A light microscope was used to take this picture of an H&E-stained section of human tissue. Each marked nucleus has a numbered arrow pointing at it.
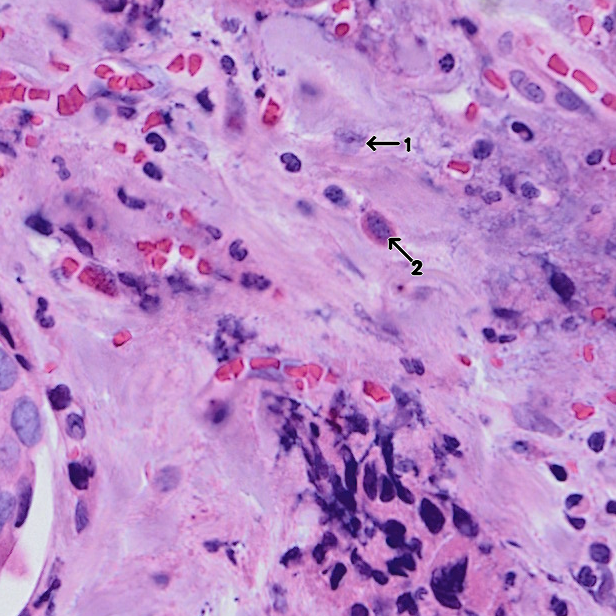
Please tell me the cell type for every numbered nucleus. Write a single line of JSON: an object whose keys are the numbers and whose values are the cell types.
{"1": "fibroblast", "2": "mast cell"}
